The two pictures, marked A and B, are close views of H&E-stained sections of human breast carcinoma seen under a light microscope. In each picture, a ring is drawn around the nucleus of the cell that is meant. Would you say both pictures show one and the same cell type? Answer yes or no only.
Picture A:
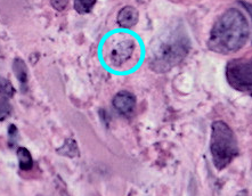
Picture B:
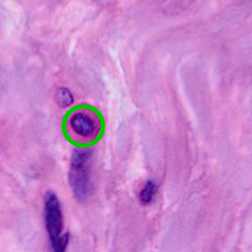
no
